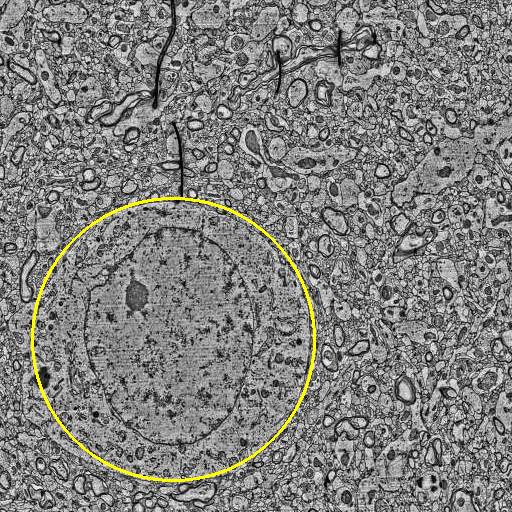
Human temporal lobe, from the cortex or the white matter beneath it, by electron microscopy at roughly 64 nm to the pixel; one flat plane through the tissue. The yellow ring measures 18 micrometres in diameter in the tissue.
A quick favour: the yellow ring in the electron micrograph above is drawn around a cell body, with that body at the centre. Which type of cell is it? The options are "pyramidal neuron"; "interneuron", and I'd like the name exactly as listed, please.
pyramidal neuron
